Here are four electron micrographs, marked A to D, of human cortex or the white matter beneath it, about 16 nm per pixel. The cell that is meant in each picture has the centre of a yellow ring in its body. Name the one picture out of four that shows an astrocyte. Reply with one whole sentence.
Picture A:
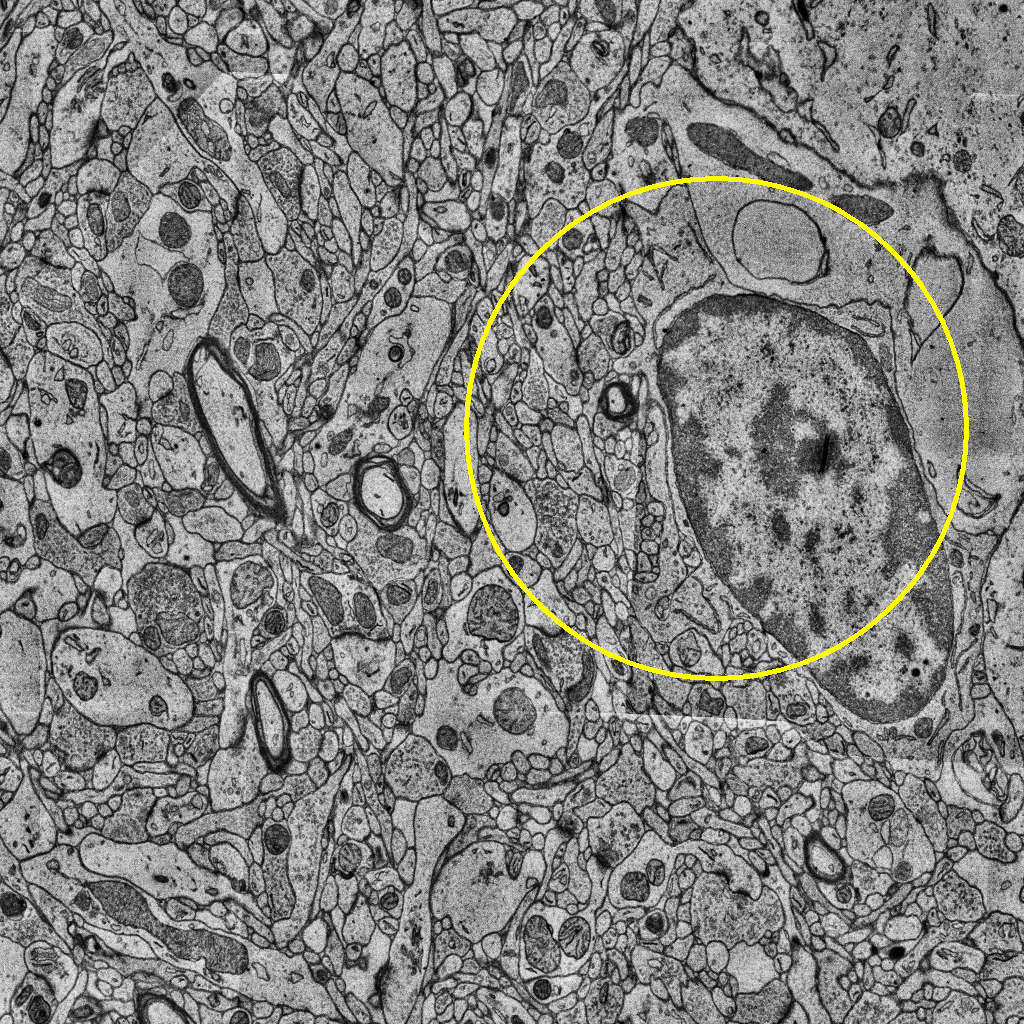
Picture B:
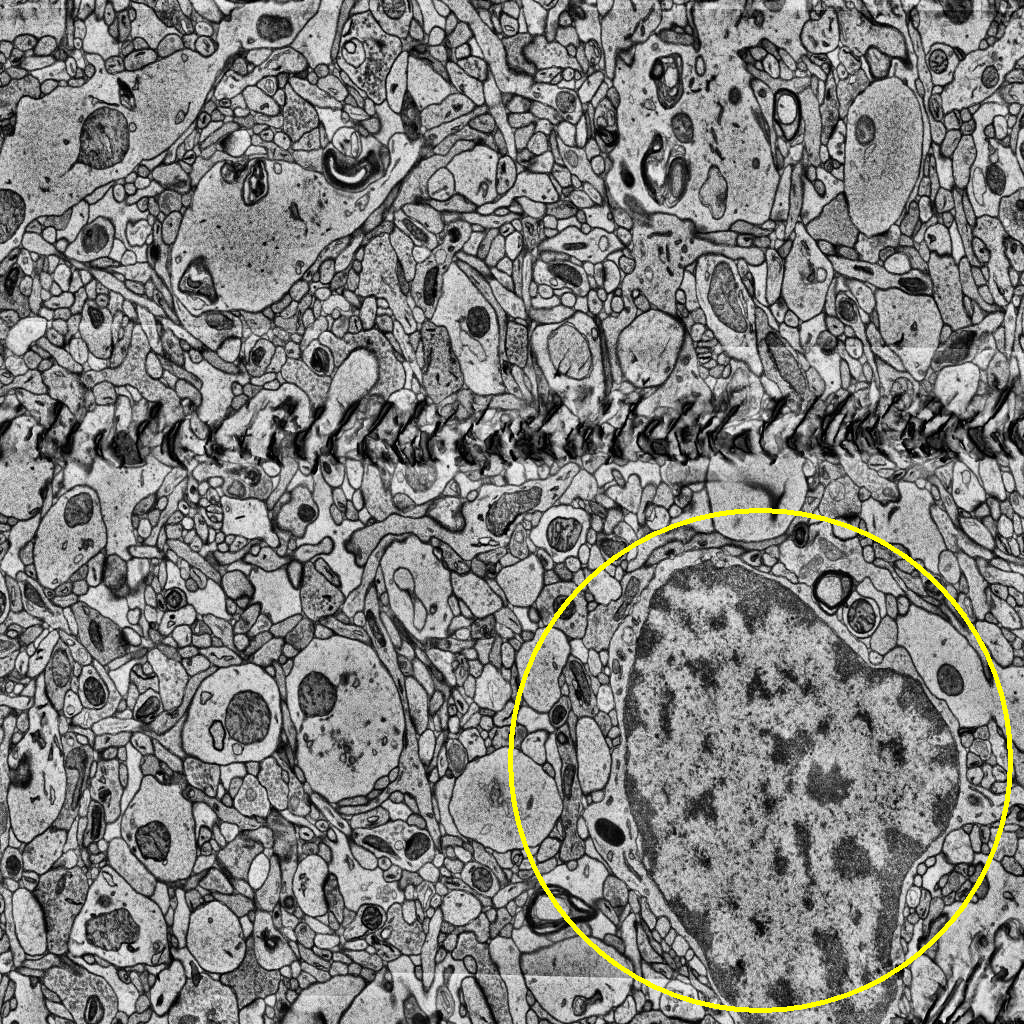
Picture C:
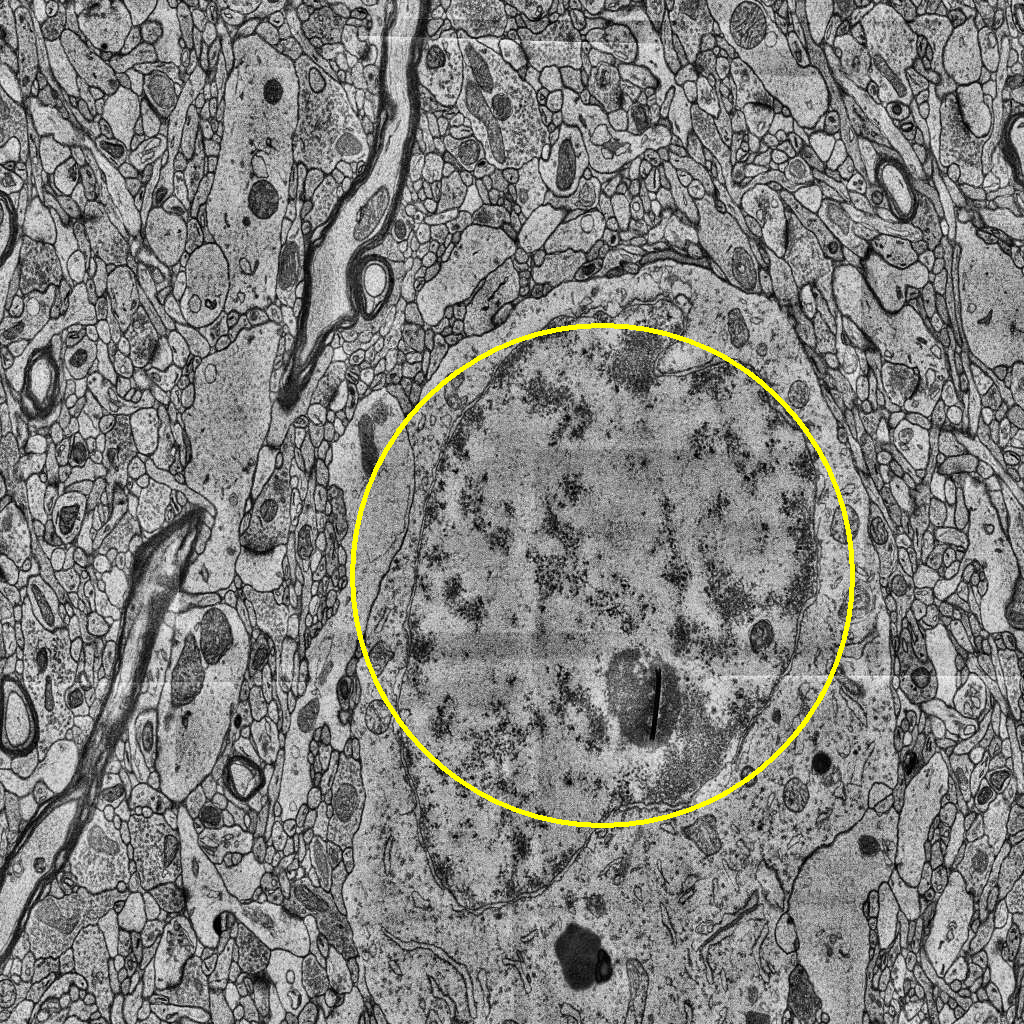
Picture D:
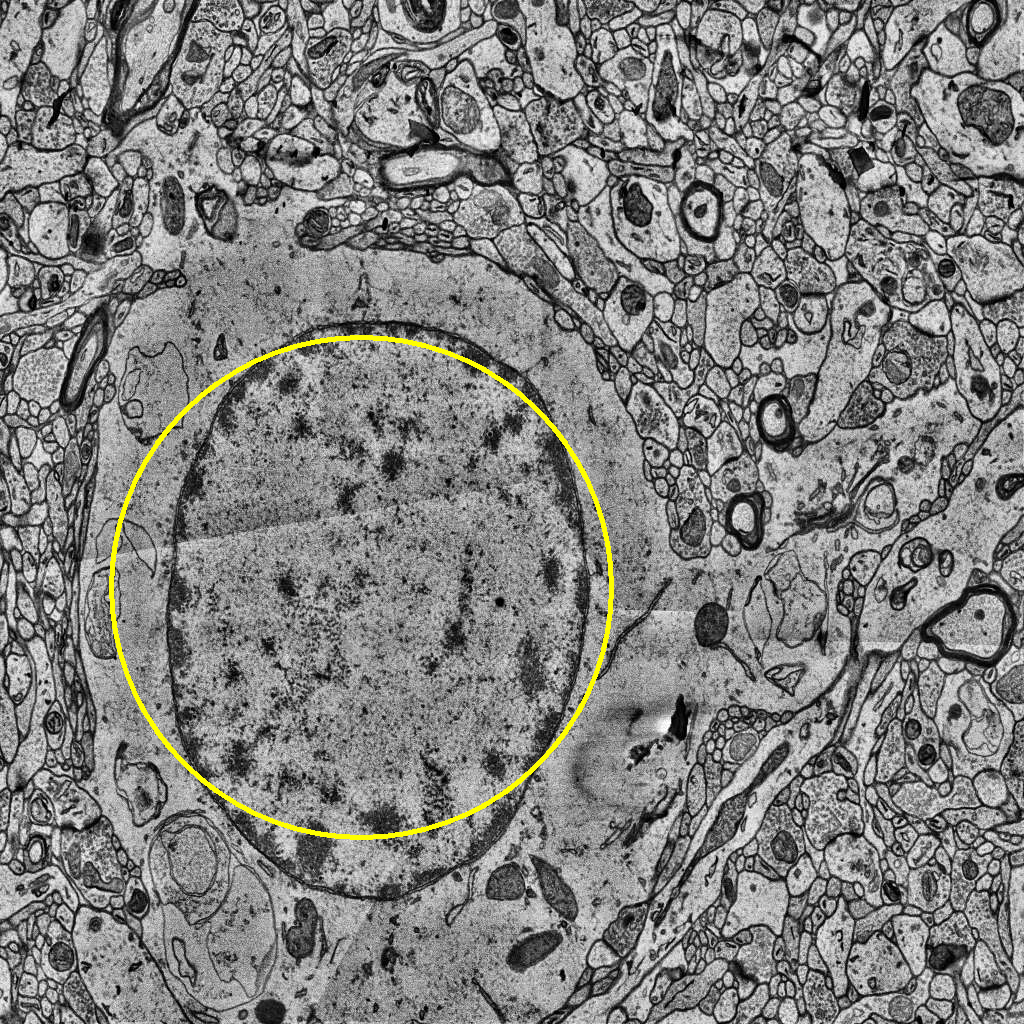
The picture with the astrocyte is D.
